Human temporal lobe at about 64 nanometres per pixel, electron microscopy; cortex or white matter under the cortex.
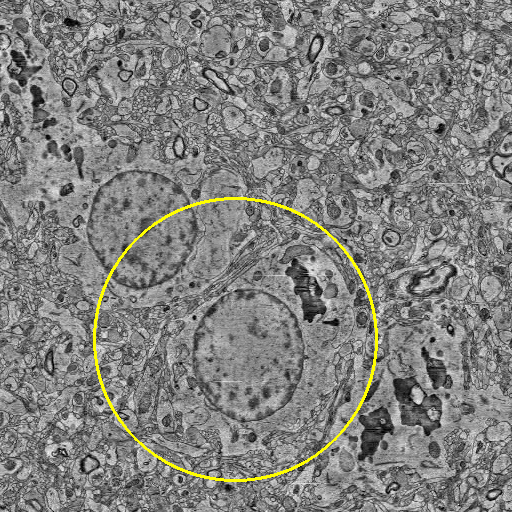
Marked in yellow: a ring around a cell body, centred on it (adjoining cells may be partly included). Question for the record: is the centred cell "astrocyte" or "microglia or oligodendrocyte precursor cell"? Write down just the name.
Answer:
astrocyte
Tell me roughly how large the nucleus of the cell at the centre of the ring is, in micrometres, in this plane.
In this plane, about 9 micrometres in length and 7 in width.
